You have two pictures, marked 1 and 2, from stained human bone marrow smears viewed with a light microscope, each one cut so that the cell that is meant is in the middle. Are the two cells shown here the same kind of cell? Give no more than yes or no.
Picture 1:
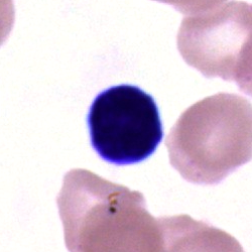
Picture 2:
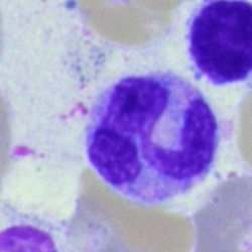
no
